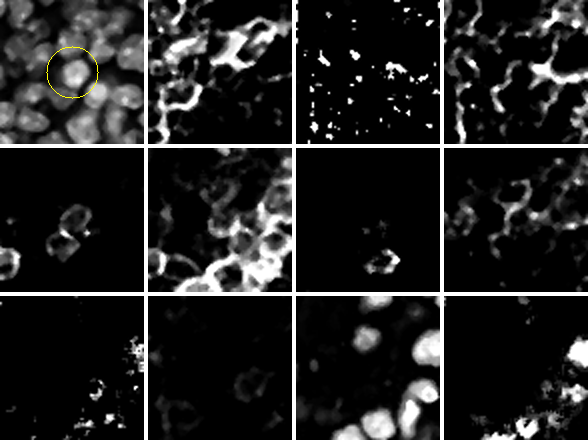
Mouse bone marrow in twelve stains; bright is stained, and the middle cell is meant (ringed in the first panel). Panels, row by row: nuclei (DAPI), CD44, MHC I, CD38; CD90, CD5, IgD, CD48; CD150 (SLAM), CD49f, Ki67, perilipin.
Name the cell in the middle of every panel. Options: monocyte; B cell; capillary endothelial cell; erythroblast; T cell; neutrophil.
B cell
